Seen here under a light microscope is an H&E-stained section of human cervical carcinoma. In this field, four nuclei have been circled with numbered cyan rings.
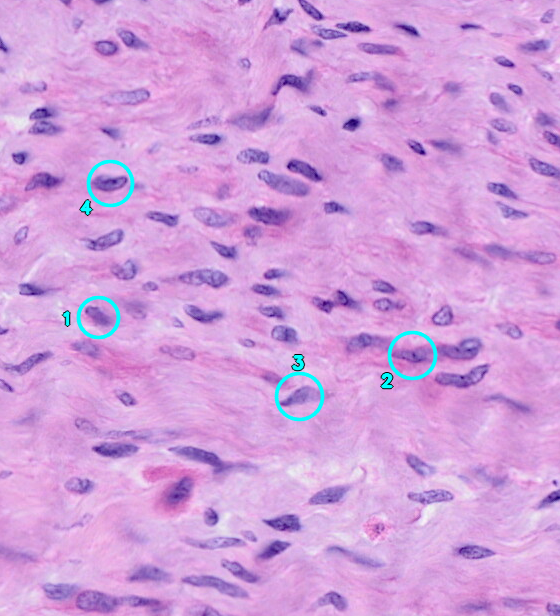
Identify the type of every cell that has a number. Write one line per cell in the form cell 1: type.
cell 1: smooth muscle cell
cell 2: smooth muscle cell
cell 3: fibroblast
cell 4: fibroblast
